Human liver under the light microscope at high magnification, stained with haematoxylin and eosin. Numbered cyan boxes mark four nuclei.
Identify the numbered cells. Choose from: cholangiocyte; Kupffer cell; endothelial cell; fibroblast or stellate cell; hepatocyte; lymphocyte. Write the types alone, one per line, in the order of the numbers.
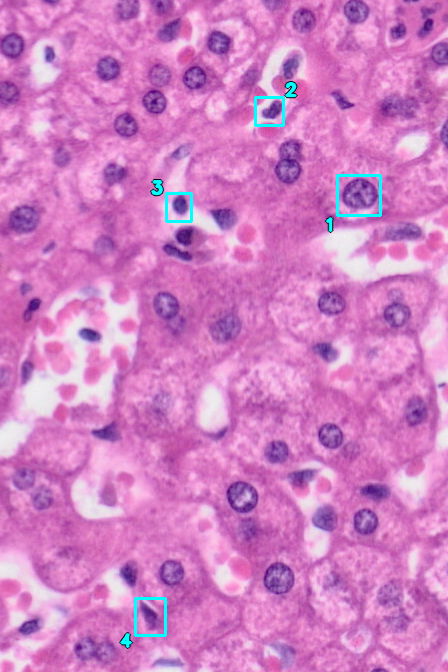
hepatocyte
lymphocyte
lymphocyte
fibroblast or stellate cell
